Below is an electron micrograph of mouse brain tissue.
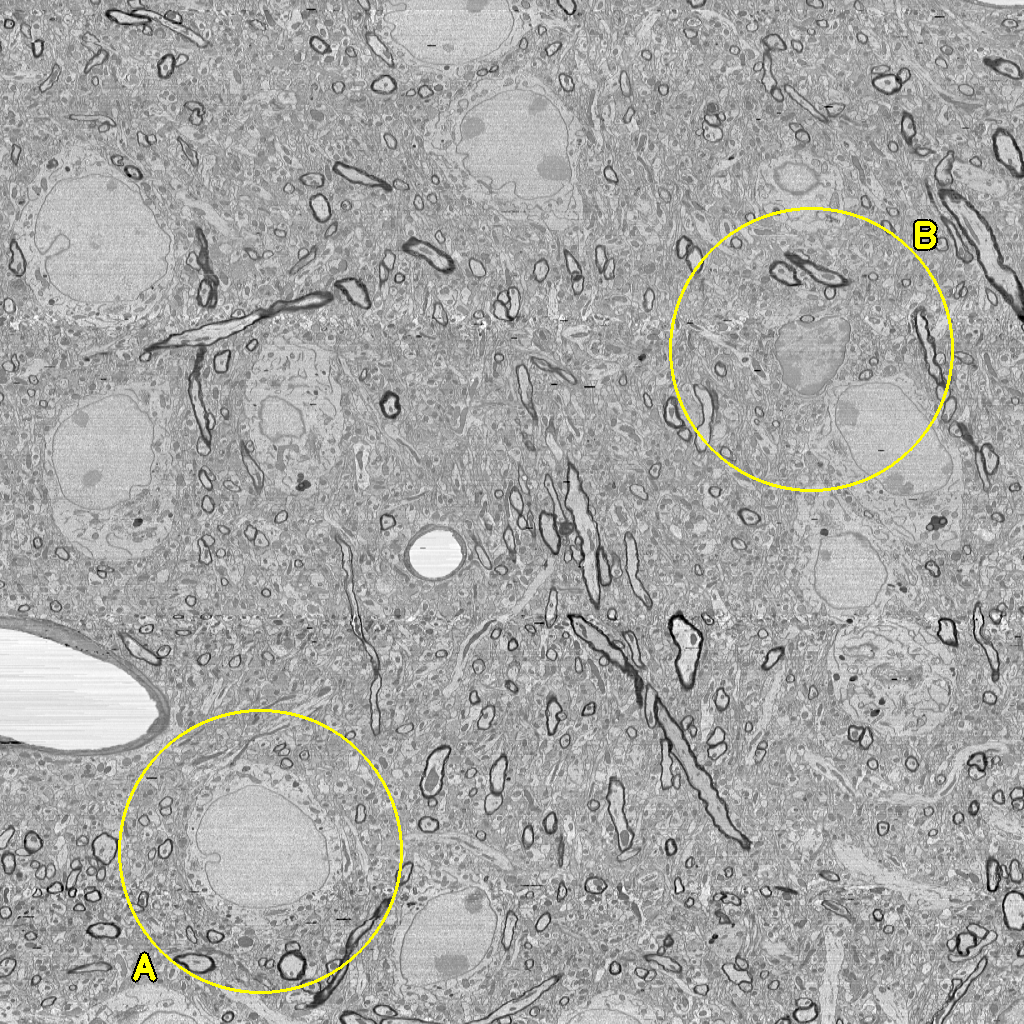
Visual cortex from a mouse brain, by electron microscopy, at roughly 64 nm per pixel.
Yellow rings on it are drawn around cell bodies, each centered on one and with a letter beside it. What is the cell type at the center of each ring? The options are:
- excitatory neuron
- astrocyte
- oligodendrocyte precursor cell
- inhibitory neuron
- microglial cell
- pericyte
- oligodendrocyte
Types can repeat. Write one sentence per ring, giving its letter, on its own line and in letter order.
At the center of ring A is an excitatory neuron.
At the center of ring B is a microglial cell.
